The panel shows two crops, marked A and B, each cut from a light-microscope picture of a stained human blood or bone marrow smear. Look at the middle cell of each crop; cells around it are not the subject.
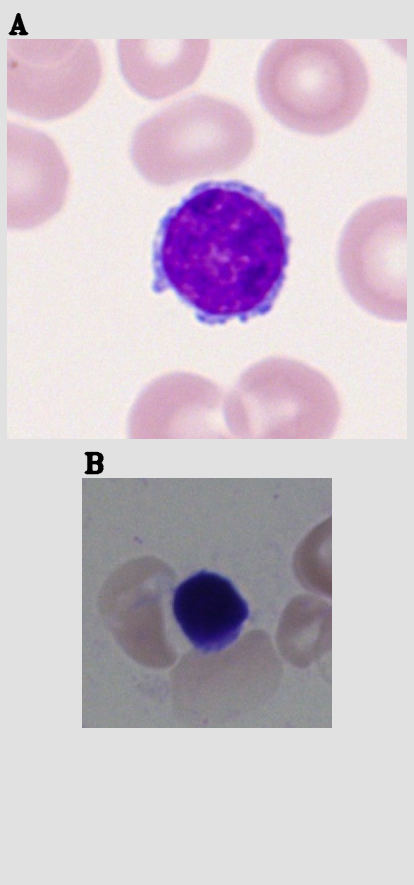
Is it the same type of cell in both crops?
yes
